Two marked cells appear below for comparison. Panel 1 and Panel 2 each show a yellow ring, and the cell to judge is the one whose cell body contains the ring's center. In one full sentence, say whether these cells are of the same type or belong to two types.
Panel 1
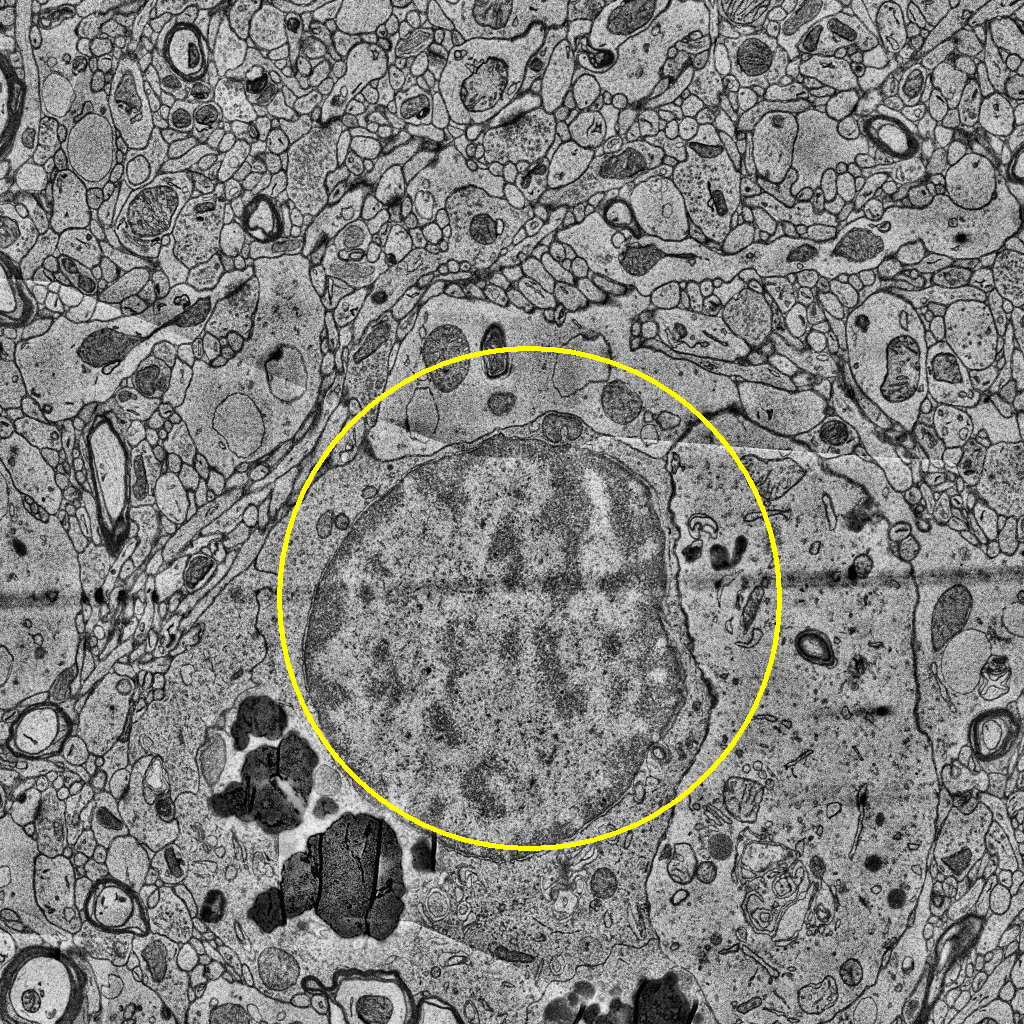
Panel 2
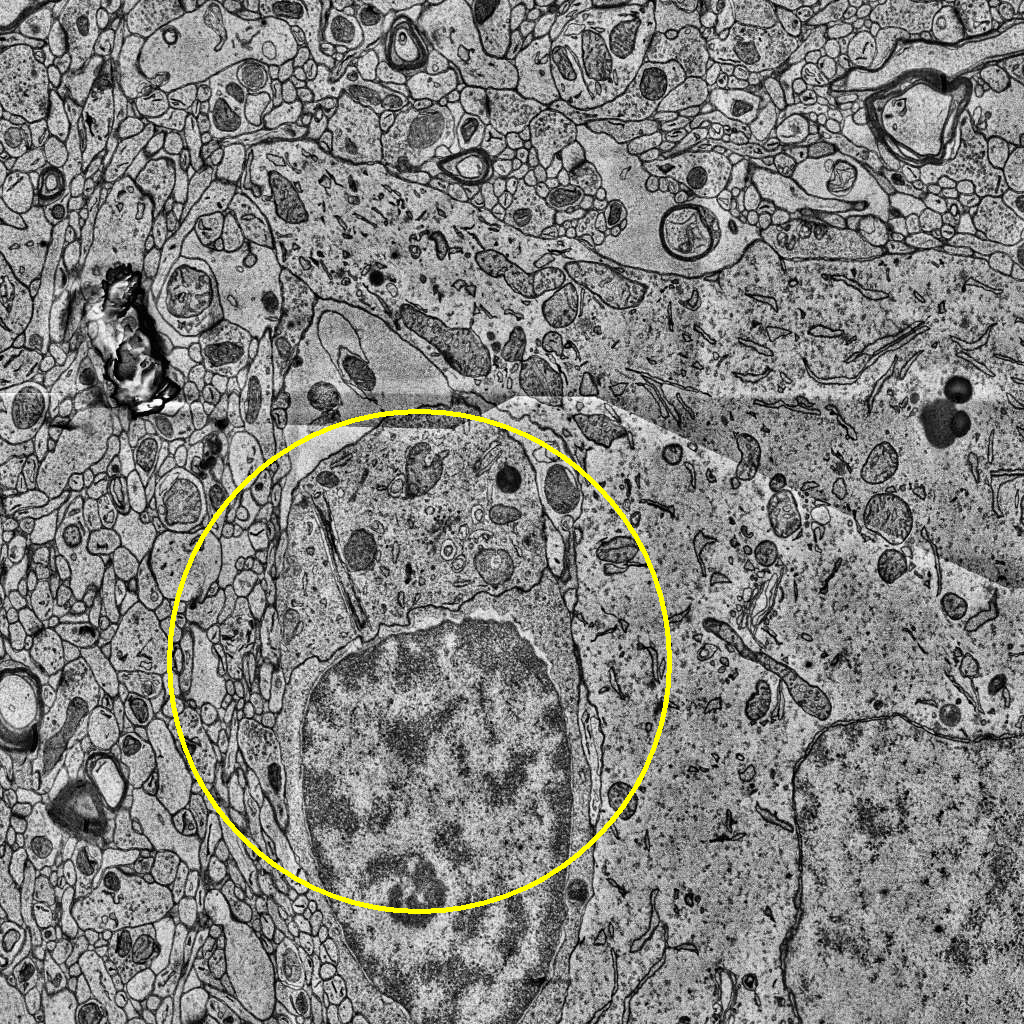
The cell at the ring's center in Panel 1 and the one in Panel 2 are of the same type.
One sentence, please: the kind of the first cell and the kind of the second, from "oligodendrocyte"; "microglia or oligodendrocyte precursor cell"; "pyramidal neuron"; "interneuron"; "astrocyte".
The second cell is an oligodendrocyte, just as the first is.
